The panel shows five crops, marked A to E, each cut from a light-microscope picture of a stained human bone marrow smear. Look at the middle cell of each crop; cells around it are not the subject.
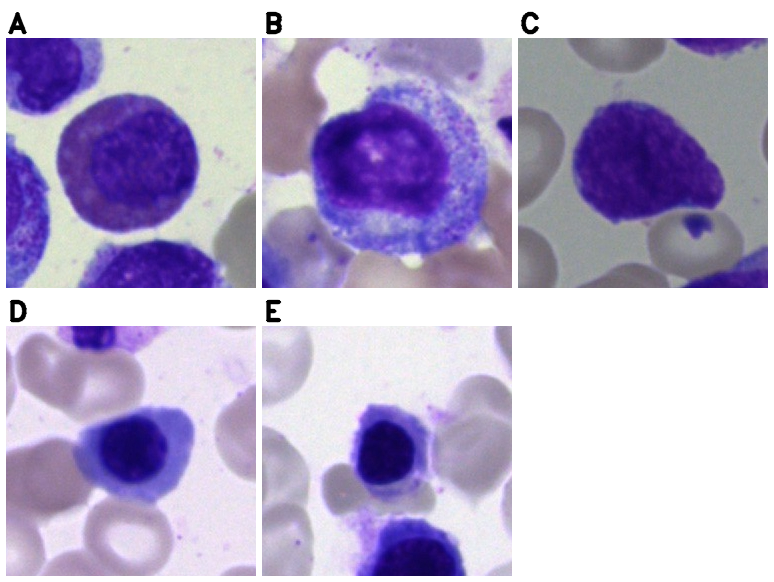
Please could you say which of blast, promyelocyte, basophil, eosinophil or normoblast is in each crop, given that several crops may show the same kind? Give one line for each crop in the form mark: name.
A: eosinophil
B: promyelocyte
C: blast
D: normoblast
E: normoblast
